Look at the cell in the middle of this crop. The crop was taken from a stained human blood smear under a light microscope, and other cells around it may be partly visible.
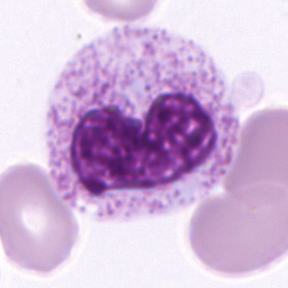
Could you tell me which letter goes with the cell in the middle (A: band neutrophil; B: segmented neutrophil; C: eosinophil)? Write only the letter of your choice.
A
